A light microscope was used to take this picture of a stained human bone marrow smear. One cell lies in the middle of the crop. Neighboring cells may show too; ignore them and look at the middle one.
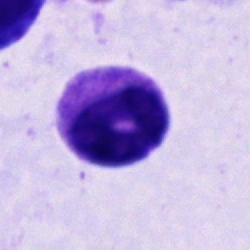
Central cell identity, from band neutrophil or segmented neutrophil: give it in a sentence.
This particular crop is centered on a band neutrophil.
